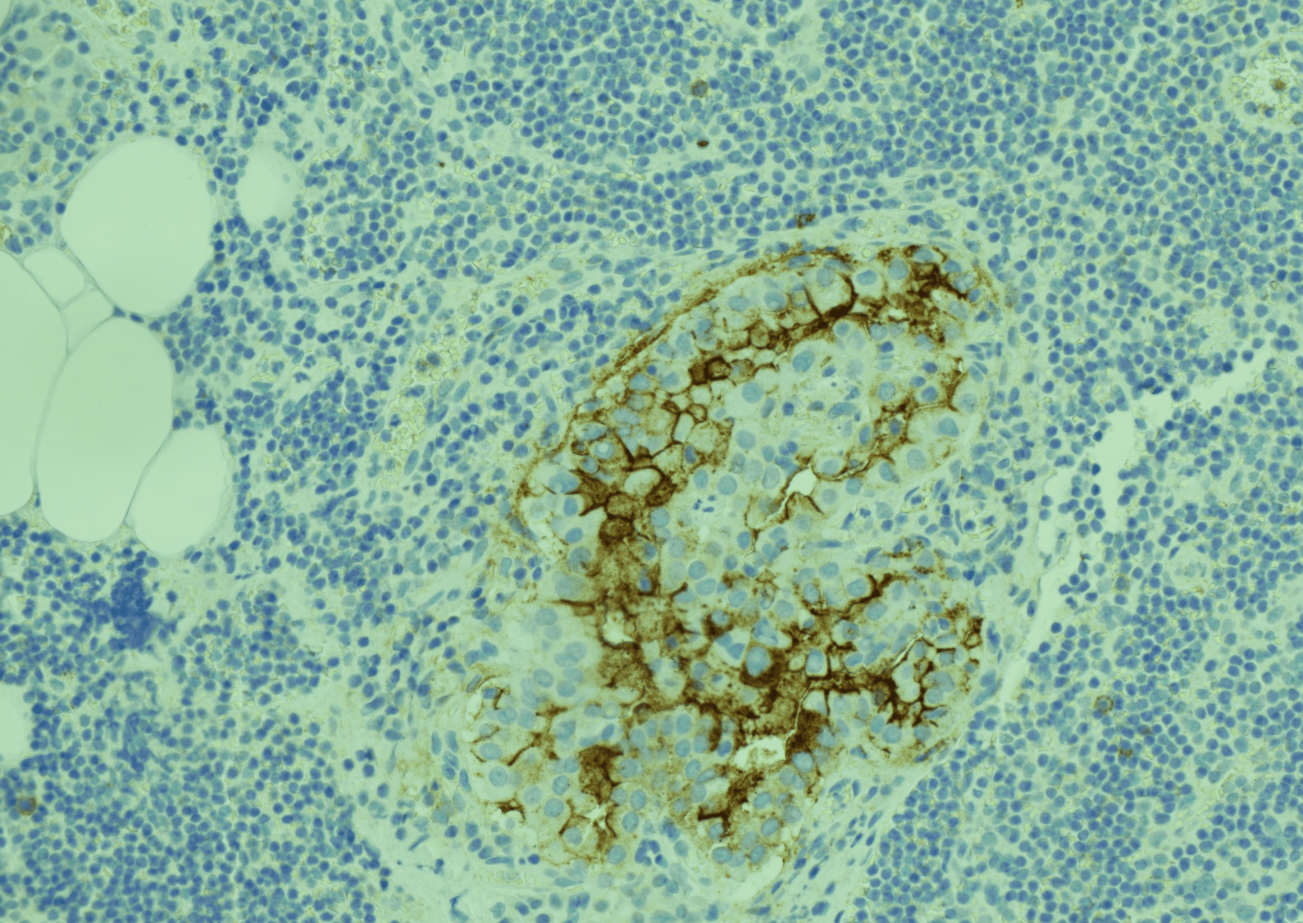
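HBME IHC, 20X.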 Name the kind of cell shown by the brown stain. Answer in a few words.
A: tumor cells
